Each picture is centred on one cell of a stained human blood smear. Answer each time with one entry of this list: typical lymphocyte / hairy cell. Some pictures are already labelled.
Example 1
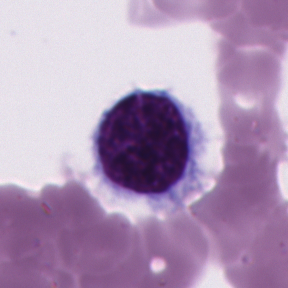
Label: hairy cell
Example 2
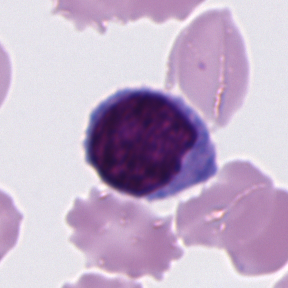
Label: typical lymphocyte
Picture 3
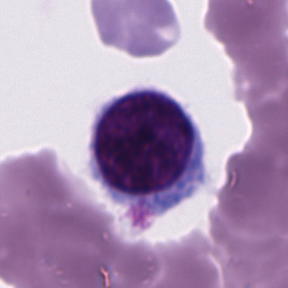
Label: hairy cell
